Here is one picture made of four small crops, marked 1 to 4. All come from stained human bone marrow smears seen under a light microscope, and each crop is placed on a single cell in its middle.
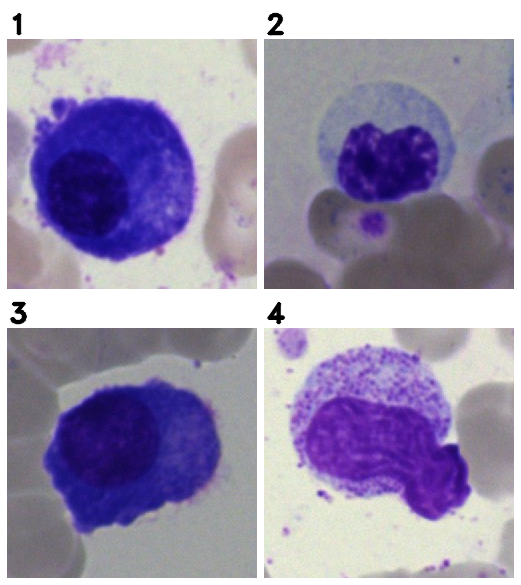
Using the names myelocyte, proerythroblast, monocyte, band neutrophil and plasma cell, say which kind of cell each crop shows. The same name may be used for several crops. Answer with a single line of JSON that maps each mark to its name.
{"1": "plasma cell", "2": "band neutrophil", "3": "plasma cell", "4": "myelocyte"}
